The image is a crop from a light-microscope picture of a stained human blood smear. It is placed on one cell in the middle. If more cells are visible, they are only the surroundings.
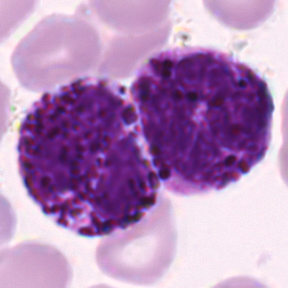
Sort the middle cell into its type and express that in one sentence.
The cell at the heart of this crop is a basophil.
